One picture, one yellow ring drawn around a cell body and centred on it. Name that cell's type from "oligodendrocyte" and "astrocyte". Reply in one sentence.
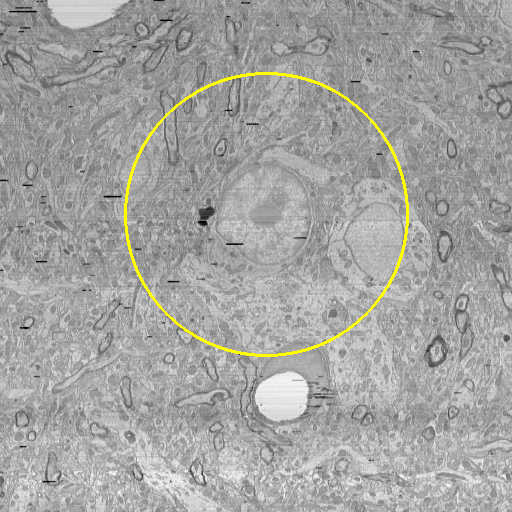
Centred in the ring is an oligodendrocyte.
